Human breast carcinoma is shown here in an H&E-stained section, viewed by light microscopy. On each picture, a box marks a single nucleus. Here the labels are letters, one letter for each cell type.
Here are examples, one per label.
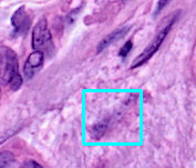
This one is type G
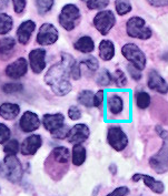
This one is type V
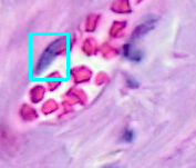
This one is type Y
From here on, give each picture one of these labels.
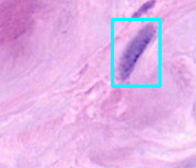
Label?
type G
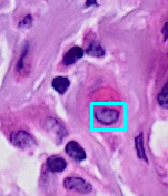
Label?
type Y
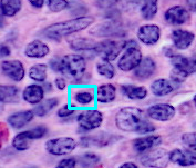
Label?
type V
